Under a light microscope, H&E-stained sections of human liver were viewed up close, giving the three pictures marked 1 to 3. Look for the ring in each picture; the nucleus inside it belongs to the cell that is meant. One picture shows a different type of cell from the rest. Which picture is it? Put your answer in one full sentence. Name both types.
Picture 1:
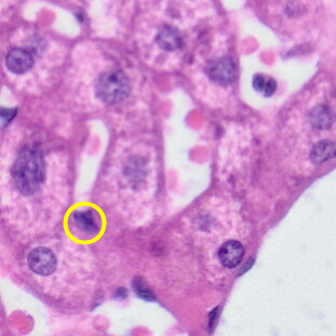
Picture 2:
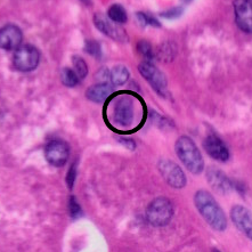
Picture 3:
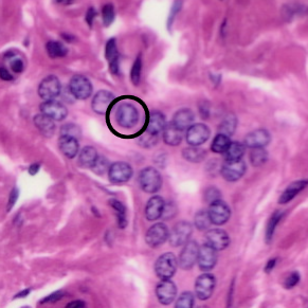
Picture 1 differs, because its cell is an endothelial cell and the rest are cholangiocytes.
